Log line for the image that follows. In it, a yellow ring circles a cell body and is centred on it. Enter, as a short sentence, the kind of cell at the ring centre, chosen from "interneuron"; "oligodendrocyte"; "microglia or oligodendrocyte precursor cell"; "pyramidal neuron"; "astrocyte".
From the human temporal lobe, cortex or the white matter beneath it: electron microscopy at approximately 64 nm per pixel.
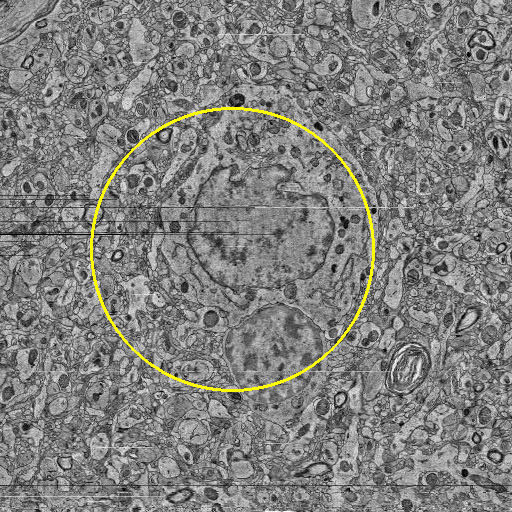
The ring centre is occupied by an interneuron.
